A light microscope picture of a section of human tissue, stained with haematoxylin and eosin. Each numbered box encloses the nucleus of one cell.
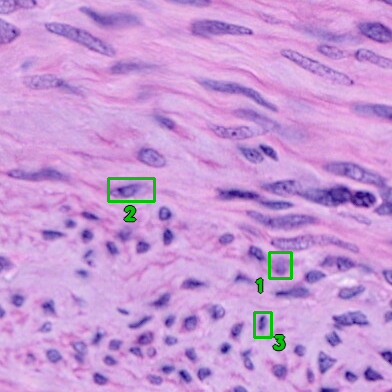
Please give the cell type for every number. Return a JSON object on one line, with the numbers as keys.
{"1": "smooth muscle cell", "2": "smooth muscle cell", "3": "fibroblast"}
